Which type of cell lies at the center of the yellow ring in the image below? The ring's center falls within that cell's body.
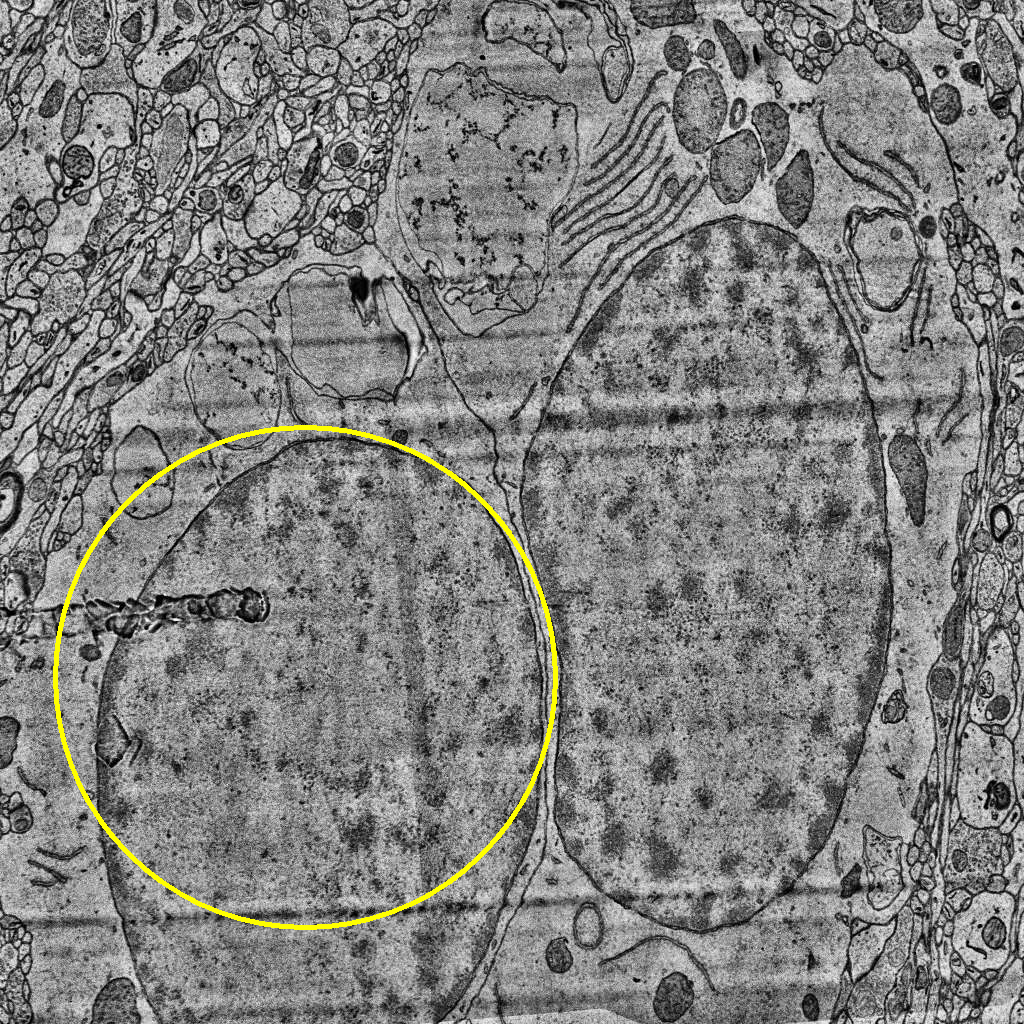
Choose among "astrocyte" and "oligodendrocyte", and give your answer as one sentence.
The cell body at the center belongs to an astrocyte.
